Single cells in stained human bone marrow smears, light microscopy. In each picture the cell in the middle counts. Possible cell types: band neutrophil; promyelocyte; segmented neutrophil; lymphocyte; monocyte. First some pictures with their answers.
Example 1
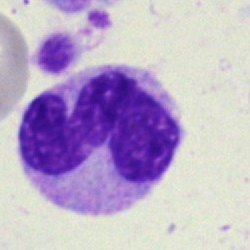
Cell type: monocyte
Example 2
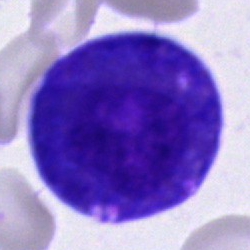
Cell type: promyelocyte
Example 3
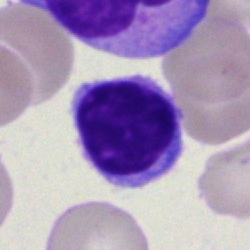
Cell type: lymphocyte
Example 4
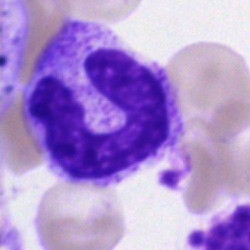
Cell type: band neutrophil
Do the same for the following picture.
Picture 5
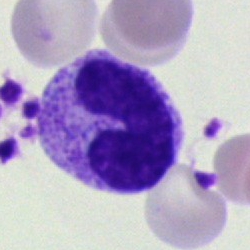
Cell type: band neutrophil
